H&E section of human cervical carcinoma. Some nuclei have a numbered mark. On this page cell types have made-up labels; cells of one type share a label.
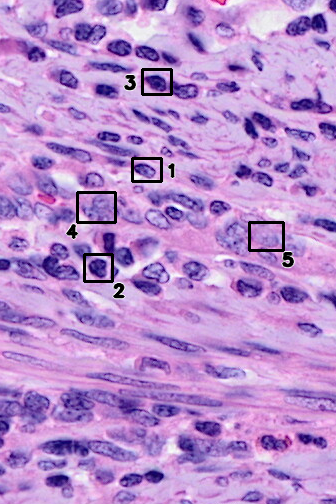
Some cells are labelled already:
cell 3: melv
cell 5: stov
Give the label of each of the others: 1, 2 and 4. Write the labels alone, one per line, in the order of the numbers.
melv
melv
stov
